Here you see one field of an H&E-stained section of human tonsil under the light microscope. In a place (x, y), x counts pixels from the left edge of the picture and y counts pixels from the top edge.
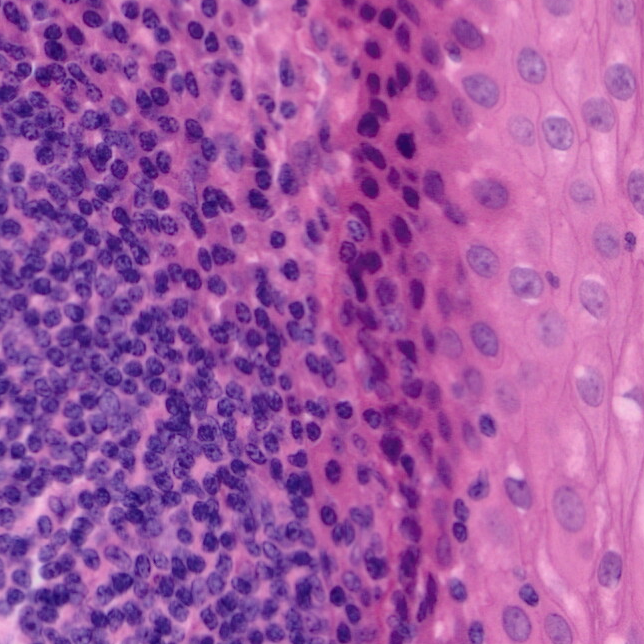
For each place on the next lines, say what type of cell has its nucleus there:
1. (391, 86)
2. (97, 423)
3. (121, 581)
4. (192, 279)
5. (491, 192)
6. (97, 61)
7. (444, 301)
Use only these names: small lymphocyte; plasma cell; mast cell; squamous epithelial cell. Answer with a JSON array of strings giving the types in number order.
["squamous epithelial cell", "small lymphocyte", "small lymphocyte", "plasma cell", "squamous epithelial cell", "plasma cell", "squamous epithelial cell"]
